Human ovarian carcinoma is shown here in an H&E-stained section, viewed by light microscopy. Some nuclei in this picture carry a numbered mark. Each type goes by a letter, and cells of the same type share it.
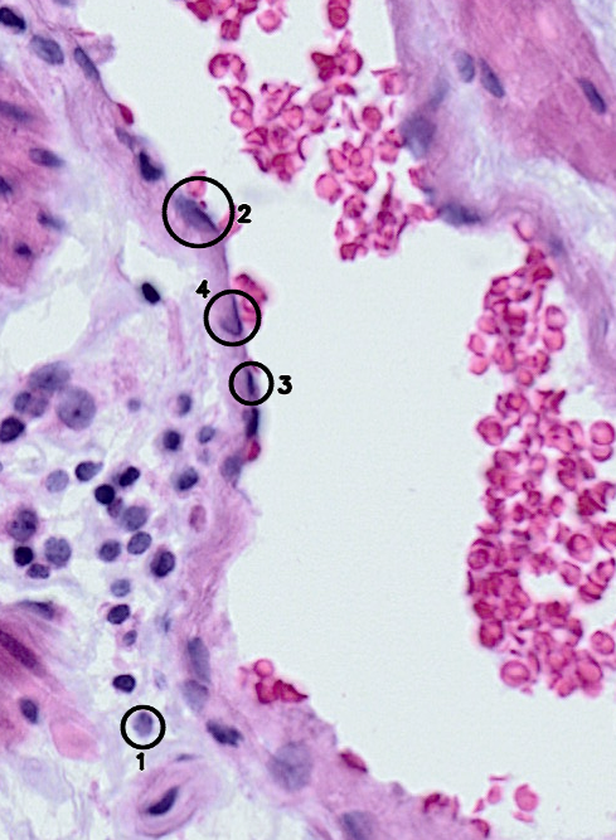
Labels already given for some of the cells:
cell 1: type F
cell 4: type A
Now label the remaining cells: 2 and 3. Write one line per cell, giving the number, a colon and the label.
2: type A
3: type A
